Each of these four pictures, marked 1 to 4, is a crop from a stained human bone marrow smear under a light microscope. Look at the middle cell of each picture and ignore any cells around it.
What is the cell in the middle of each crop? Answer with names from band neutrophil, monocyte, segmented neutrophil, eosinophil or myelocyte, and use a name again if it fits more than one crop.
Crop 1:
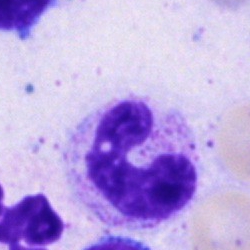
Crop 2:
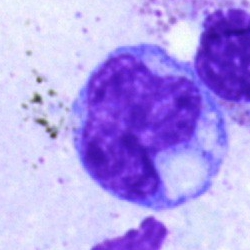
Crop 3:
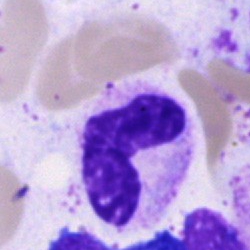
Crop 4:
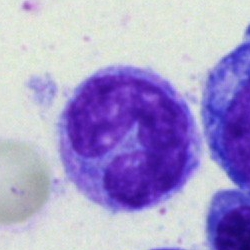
1: band neutrophil
2: monocyte
3: band neutrophil
4: monocyte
